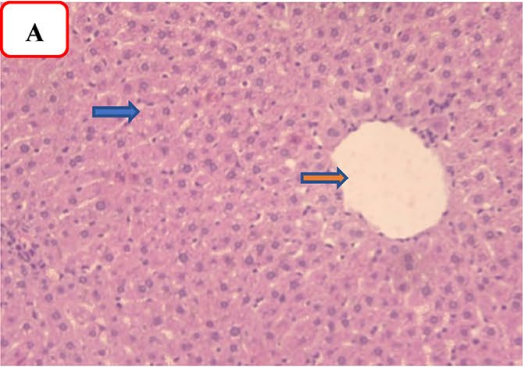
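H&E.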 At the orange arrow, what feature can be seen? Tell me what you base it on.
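Hepatic central vein. The orange arrow points into a large, round, empty lumen. Plates of polygonal cells surround the lumen.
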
